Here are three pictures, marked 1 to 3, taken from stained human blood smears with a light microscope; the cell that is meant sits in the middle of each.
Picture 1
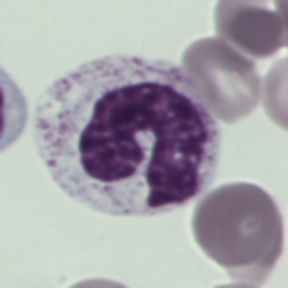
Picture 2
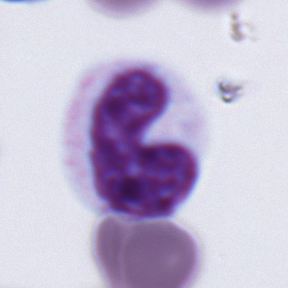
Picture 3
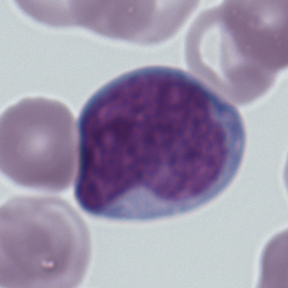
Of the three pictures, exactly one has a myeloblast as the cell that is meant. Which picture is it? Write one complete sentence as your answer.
It is picture 3 that shows the myeloblast.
